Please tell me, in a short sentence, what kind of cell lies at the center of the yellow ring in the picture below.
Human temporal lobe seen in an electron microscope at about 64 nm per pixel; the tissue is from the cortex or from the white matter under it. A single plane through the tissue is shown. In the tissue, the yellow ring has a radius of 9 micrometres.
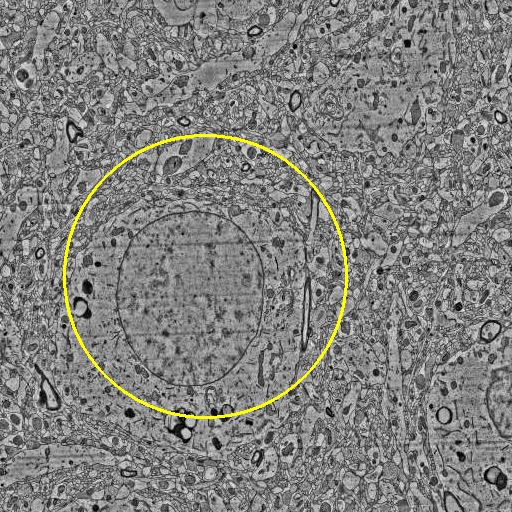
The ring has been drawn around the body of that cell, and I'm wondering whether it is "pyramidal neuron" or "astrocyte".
The cell at the center of the ring is a pyramidal neuron.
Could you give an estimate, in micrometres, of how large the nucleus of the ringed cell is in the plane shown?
The nucleus measures about 11 by 10 micrometres in this plane.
